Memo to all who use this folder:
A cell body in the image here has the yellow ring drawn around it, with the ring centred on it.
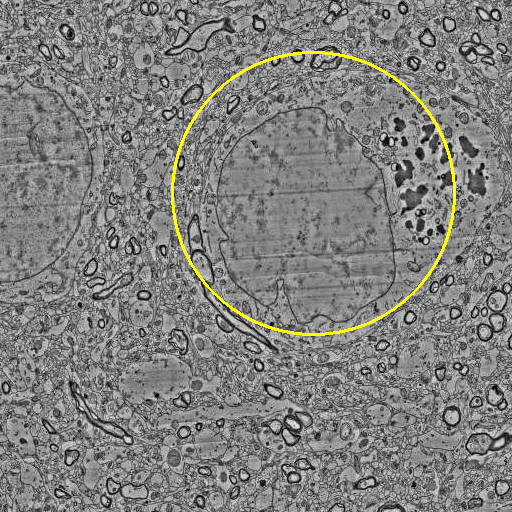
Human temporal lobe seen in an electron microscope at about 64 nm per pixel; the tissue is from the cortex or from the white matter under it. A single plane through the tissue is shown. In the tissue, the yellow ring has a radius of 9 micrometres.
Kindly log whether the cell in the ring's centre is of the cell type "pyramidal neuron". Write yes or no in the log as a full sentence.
Yes, logged: the ring in this image is centred on a cell of that type.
